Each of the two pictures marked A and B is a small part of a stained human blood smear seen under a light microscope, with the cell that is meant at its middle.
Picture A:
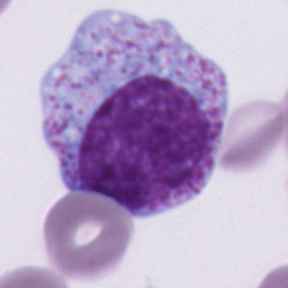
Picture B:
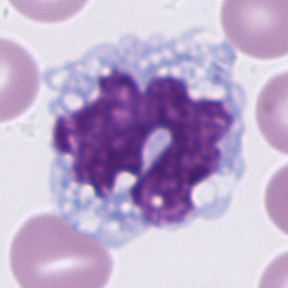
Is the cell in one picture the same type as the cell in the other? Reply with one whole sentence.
No, the types are not the same, since picture A shows a promyelocyte and picture B a monocyte.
